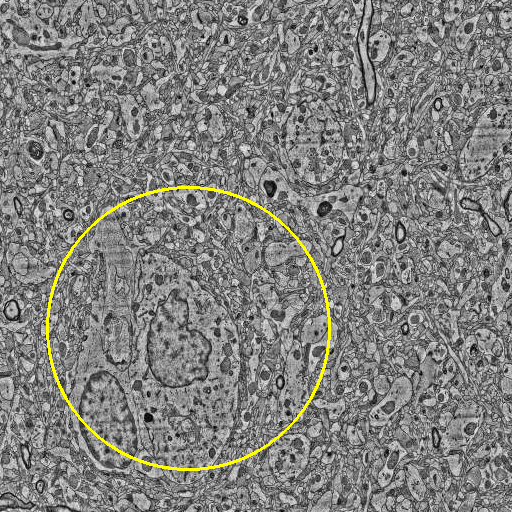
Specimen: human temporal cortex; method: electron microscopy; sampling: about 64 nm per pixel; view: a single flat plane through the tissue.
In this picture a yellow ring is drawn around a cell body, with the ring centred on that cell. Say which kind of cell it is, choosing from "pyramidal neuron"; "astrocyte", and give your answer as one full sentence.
Here it is a pyramidal neuron that sits at the centre of the drawn yellow ring.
